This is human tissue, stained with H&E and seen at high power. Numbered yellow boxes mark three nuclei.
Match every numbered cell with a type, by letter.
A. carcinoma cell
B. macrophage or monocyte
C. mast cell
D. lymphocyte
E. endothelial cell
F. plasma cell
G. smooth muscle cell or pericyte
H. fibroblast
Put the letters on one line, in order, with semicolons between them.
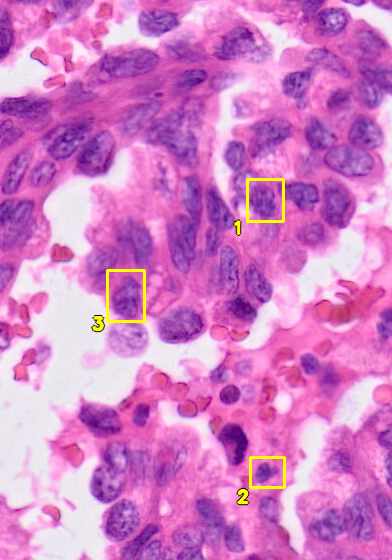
A; D; A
